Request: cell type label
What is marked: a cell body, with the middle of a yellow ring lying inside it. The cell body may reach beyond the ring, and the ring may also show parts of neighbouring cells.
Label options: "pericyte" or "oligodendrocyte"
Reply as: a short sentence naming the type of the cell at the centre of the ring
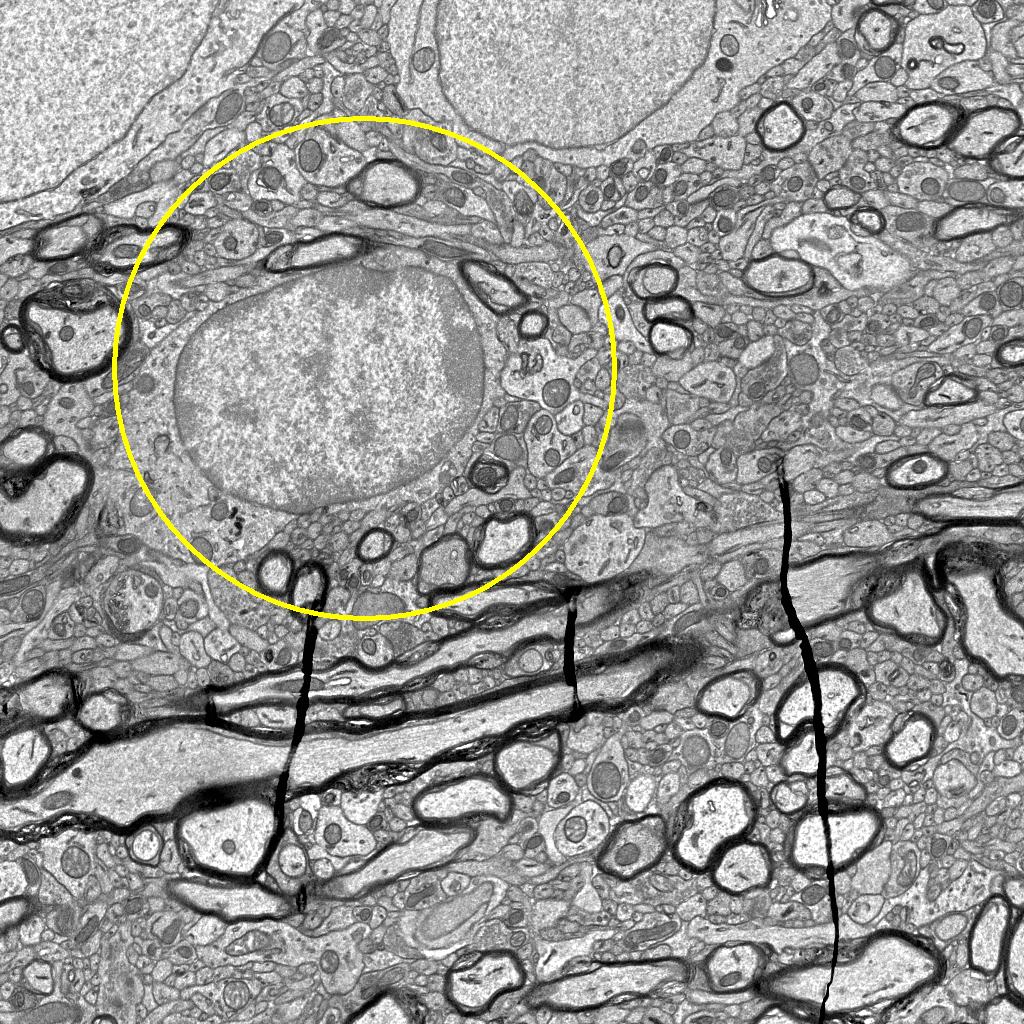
The marked cell body is that of an oligodendrocyte.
